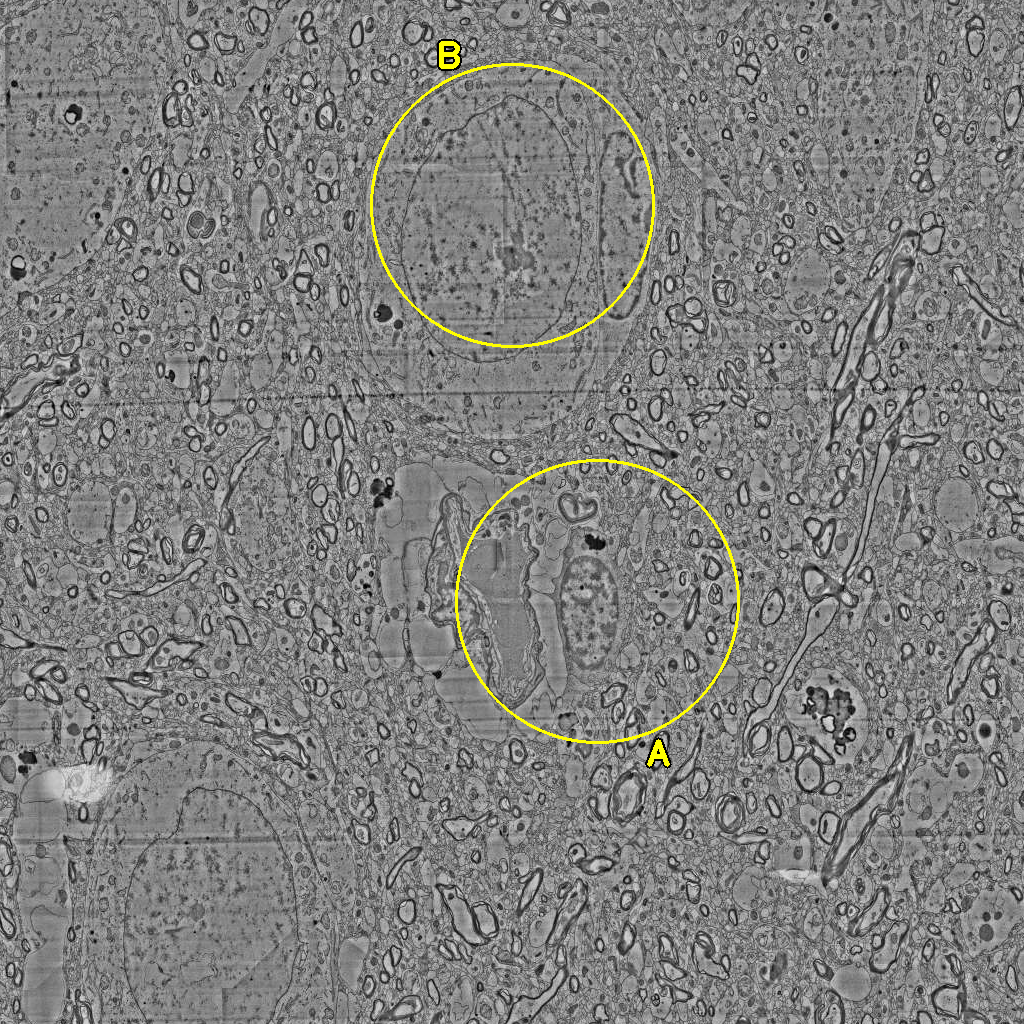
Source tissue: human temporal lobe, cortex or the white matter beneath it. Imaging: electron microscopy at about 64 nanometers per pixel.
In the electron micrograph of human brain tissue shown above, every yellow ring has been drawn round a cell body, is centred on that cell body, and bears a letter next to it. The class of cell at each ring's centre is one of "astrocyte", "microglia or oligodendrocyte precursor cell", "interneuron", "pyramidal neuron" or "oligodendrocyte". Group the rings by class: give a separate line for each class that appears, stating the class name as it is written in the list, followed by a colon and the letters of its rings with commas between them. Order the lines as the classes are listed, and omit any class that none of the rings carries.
pyramidal neuron: B
oligodendrocyte: A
